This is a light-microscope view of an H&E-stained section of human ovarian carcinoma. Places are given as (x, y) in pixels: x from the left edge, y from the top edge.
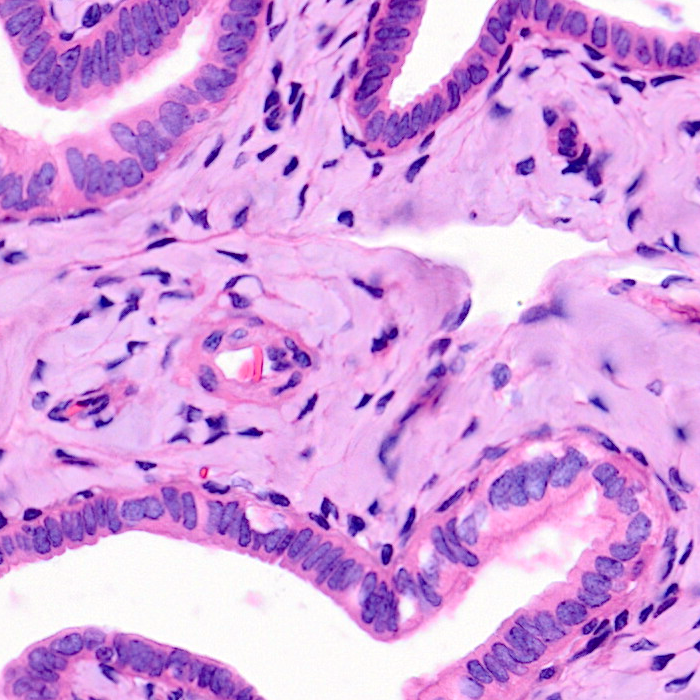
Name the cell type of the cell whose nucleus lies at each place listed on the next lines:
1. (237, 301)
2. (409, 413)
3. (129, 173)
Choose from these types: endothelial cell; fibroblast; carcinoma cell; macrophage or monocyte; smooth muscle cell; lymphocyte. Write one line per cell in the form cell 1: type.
cell 1: smooth muscle cell
cell 2: endothelial cell
cell 3: carcinoma cell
